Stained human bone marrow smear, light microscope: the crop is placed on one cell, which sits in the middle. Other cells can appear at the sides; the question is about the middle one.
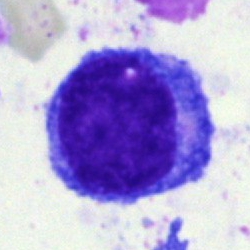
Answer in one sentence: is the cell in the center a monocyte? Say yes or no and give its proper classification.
No, the cell under consideration is a blast instead of a monocyte.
